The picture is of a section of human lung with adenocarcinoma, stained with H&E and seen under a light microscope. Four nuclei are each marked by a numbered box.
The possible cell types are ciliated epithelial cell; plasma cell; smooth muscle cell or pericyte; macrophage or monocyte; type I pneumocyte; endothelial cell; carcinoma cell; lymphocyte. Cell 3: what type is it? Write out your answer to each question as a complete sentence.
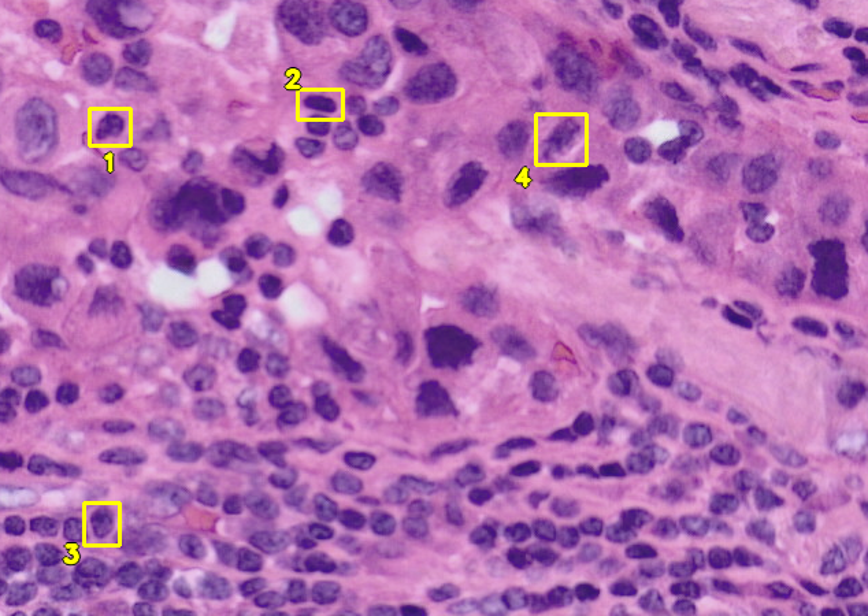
Denoted by the label 3 in the section is a lymphocyte.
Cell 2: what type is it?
The cell with the number 2 is a lymphocyte.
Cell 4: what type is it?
The cell that is numbered 4 is a carcinoma cell.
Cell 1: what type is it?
The one numbered 1 among the marked cells is a lymphocyte.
